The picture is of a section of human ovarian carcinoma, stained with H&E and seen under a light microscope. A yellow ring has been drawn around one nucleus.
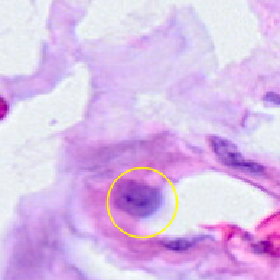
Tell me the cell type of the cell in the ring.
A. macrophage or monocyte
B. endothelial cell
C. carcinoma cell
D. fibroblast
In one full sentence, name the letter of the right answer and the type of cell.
Answer with option B; the cell in the ring is an endothelial cell.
